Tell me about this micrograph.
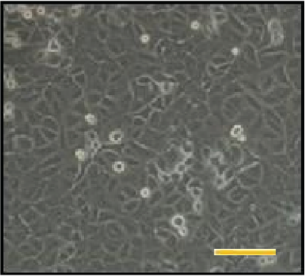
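A dense monolayer of cultured epithelial cells fills the field, the cells short and polygonal and packed edge to edge in a cobblestone-like sheet. Scattered among them are small, round, bright-haloed cells sitting above the layer.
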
